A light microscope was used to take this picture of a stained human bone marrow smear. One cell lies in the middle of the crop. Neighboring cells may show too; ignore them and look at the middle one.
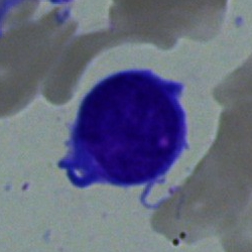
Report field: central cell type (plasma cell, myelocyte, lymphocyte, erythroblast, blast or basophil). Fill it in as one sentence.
The central cell in this smear crop is a blast.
